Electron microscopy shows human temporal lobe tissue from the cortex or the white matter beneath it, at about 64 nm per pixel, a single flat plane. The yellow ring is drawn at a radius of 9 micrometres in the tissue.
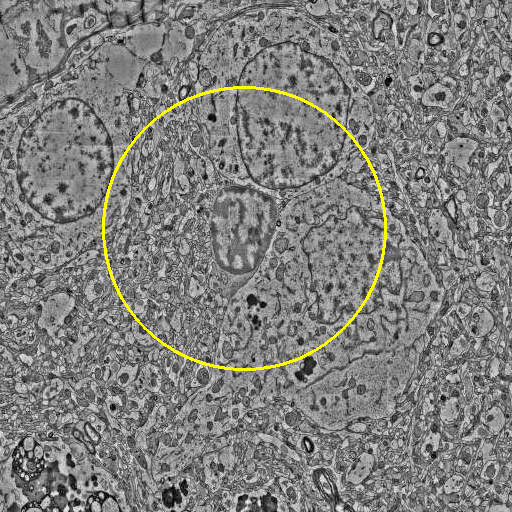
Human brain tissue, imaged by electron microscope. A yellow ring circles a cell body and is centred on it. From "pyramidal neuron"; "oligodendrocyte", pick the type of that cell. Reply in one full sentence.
The cell body at the centre of the yellow ring belongs to an oligodendrocyte.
